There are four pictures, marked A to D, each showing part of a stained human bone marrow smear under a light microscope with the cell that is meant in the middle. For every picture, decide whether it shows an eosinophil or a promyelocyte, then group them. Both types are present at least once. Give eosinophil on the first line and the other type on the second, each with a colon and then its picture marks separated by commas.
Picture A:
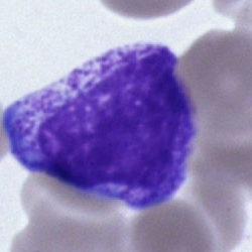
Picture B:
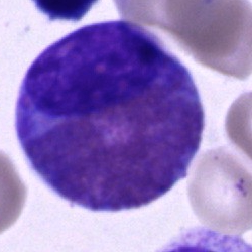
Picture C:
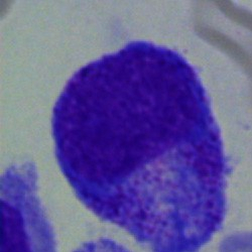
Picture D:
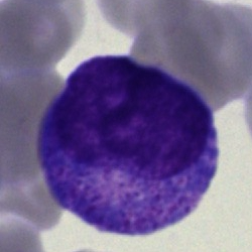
eosinophil: B
promyelocyte: A, C, D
